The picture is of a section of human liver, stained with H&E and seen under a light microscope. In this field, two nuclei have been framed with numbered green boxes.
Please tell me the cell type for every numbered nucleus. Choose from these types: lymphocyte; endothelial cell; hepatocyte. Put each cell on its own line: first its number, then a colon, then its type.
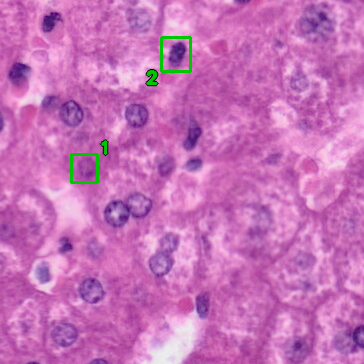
1: hepatocyte
2: lymphocyte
